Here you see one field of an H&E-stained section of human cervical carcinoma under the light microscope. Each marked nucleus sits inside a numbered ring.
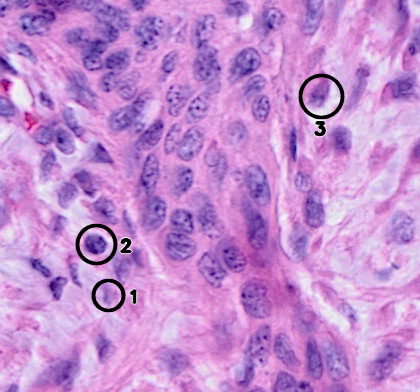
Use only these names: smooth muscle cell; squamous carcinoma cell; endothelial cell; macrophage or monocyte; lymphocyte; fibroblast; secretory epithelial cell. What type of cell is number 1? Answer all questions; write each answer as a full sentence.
The cell numbered 1 has been identified as a fibroblast.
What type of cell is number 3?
The cell that bears the number 3 is a macrophage or monocyte.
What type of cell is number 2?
Cell 2 in the field of view is a lymphocyte.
